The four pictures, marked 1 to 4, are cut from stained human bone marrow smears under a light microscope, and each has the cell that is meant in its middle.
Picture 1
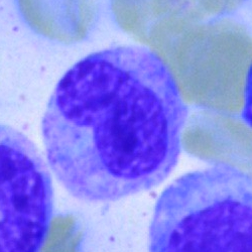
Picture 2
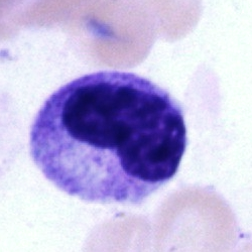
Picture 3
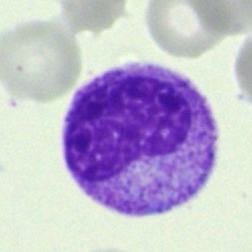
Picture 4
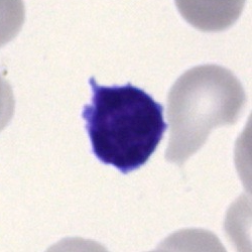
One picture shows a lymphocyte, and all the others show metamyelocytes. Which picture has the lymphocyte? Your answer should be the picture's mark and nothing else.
4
